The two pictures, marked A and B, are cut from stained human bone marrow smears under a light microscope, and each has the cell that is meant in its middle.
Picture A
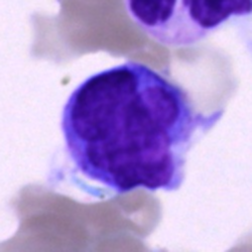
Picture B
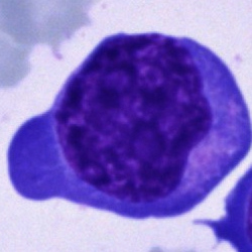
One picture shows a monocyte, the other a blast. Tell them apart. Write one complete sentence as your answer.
Picture A shows a monocyte and picture B shows a blast.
